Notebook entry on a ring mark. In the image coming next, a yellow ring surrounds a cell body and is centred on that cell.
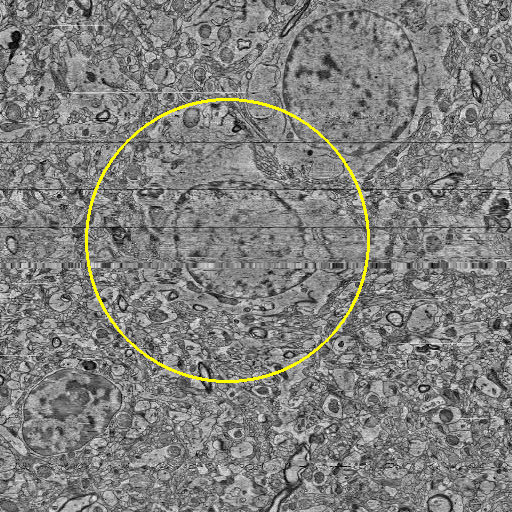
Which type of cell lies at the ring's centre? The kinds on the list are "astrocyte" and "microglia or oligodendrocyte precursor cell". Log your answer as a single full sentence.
Centred in the yellow ring is an astrocyte, the cell recorded for this image.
